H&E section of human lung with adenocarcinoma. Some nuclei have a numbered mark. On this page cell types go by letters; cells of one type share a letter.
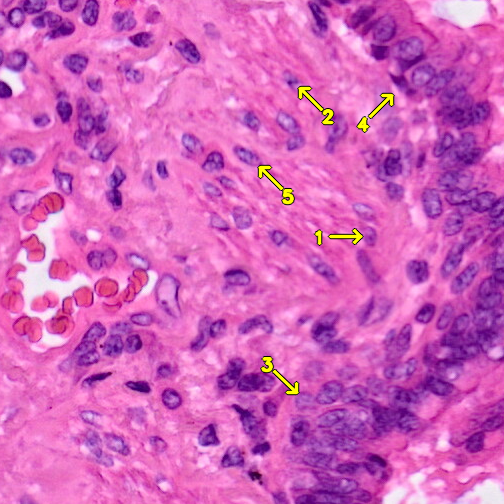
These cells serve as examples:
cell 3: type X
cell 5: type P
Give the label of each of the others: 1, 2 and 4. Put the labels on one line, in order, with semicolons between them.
type P; type P; type X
